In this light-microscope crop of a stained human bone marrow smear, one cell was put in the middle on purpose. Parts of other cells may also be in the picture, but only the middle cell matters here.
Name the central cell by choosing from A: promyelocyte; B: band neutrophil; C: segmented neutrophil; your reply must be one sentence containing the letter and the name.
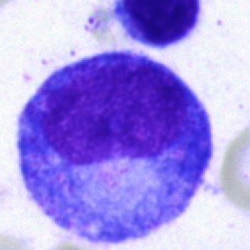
In the centre of the crop there is a promyelocyte, making option A correct.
